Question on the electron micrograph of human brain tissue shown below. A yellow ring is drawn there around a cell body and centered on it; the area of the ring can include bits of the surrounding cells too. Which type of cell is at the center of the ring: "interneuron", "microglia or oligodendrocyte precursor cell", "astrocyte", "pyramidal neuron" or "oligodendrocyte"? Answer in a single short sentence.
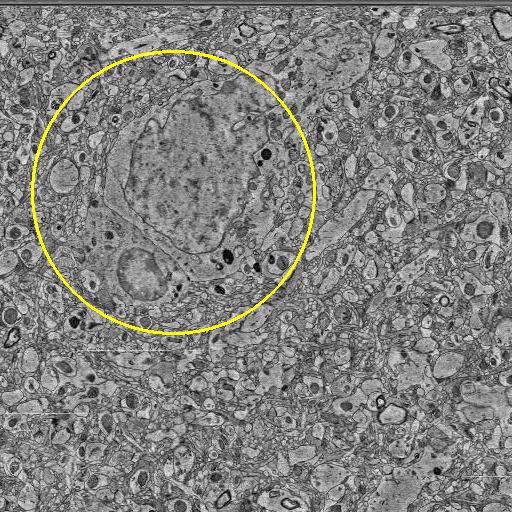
The ring is centered on an interneuron.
